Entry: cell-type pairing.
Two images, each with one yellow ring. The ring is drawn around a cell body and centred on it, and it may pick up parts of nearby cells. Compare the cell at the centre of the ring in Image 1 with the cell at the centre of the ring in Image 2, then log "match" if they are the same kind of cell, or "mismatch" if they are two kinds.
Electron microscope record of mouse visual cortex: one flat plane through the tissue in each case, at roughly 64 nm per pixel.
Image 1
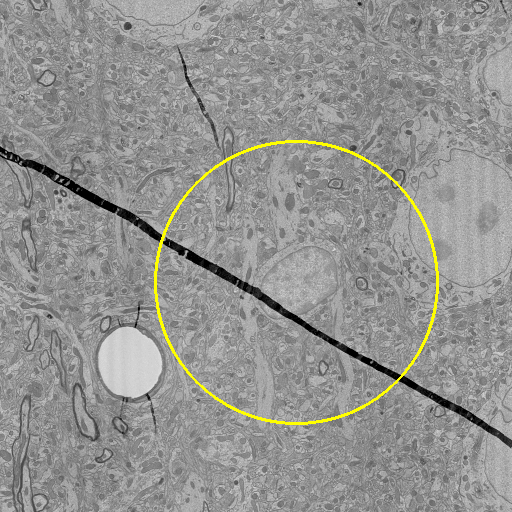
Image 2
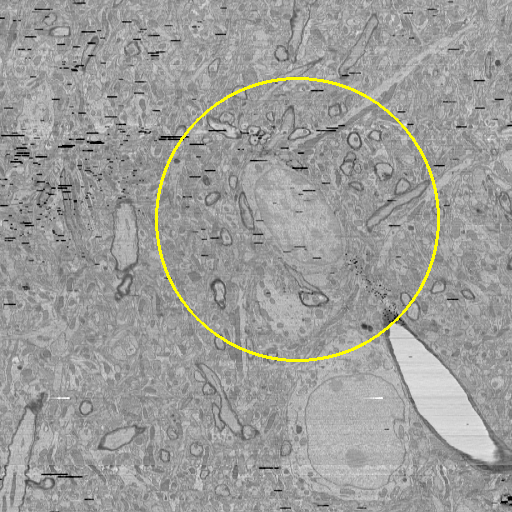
match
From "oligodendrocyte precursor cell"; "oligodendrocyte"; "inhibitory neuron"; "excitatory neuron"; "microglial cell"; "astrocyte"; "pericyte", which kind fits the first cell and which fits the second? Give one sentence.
Each of the ringed cells, first and second, is an oligodendrocyte.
